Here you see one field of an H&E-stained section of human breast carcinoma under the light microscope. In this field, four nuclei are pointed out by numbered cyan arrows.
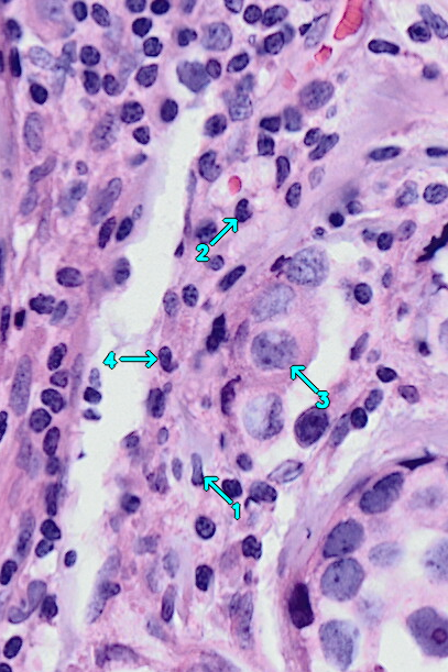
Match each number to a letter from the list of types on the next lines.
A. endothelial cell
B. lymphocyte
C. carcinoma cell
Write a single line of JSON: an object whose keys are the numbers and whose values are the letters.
{"1": "B", "2": "B", "3": "C", "4": "B"}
